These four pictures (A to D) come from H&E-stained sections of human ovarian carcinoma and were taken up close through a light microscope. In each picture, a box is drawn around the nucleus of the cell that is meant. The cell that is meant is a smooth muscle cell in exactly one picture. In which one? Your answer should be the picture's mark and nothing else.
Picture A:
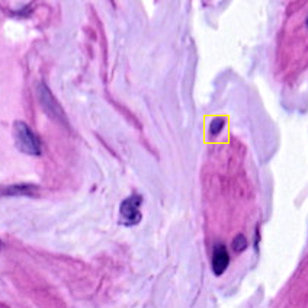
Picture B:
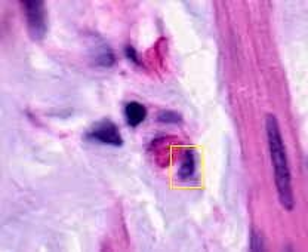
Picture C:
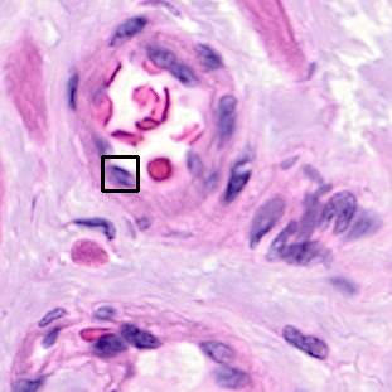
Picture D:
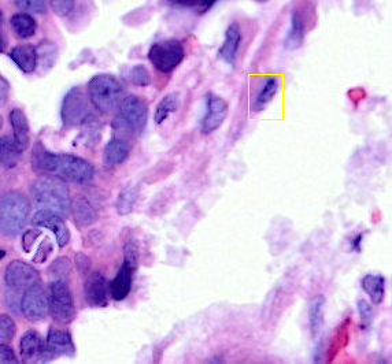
A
